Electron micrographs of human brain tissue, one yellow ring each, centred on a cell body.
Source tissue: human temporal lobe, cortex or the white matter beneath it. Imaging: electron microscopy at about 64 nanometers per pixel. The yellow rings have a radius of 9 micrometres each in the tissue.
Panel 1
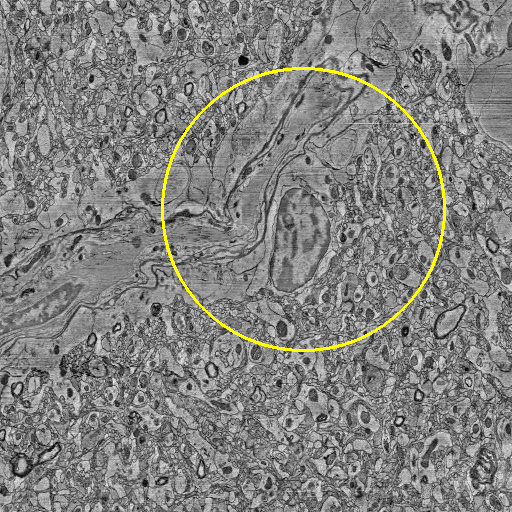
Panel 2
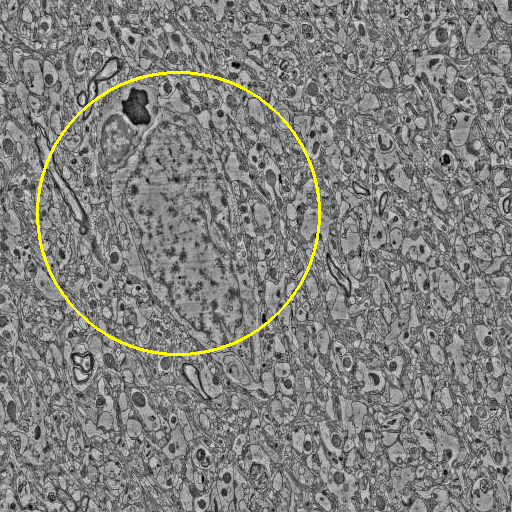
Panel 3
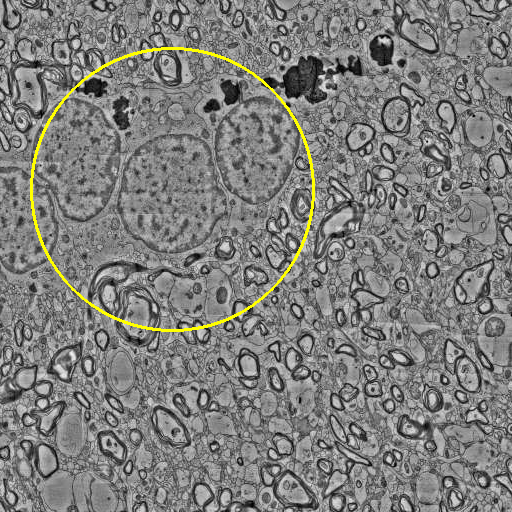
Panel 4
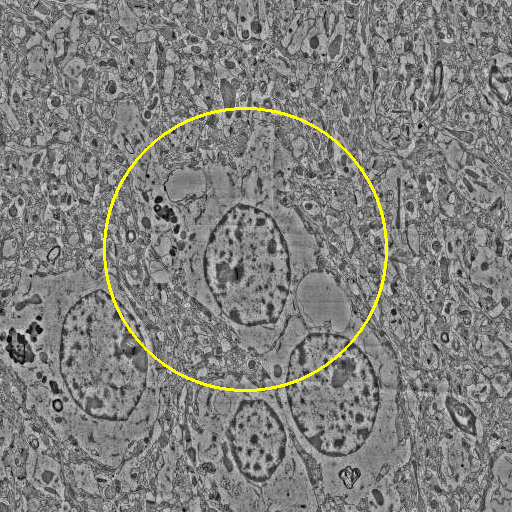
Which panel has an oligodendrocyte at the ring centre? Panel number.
3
